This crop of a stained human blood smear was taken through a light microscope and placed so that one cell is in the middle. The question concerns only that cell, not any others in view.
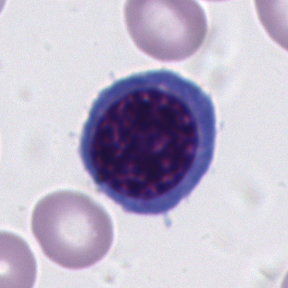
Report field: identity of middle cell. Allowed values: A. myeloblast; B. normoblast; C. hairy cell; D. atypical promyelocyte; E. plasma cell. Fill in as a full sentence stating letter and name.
Option B is to be chosen, as the central cell is a normoblast.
